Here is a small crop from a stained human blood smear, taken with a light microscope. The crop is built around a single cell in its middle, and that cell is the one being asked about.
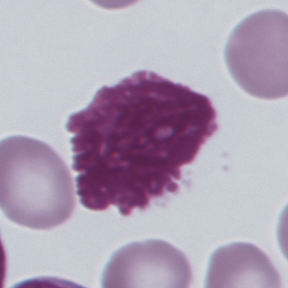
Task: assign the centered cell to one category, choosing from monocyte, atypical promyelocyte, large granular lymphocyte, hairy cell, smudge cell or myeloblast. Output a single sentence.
The target cell in the middle of the crop is a smudge cell.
